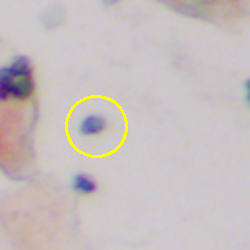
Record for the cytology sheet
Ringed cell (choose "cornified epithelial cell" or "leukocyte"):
leukocyte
